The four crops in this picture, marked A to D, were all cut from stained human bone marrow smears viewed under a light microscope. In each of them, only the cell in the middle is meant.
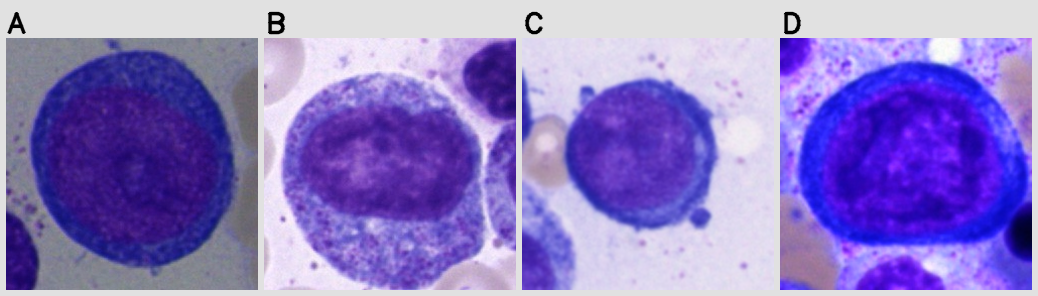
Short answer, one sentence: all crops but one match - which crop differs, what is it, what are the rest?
What sets crop B apart is that it shows a promyelocyte, while the others show proerythroblasts.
